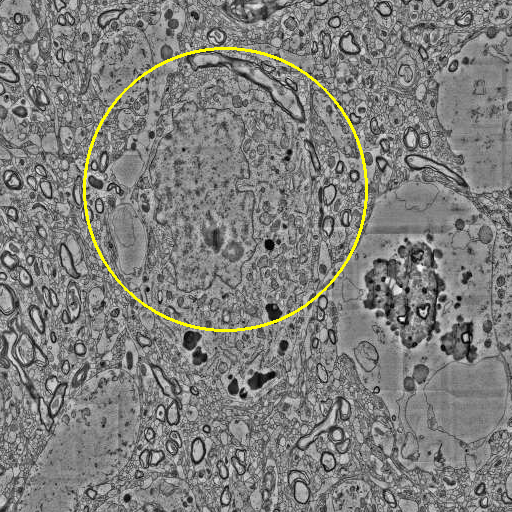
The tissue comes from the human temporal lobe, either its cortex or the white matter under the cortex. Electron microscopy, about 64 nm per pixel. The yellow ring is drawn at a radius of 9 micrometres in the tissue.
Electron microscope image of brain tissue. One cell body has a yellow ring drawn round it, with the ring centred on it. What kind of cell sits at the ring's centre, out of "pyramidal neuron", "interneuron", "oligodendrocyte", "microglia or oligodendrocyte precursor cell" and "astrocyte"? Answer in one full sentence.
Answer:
It is an interneuron whose cell body sits at the centre of the yellow ring.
